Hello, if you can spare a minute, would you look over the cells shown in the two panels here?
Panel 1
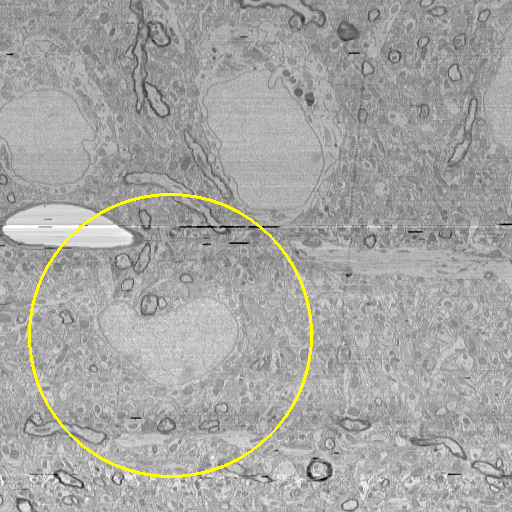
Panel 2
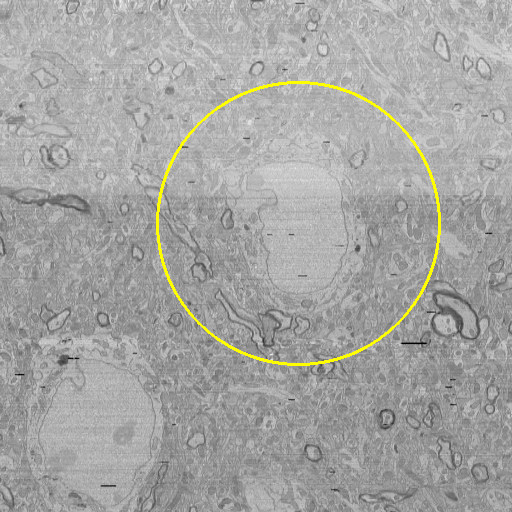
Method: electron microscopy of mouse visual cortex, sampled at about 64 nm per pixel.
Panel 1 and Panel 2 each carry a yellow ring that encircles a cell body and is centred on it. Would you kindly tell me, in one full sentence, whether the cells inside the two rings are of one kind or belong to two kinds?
The cells at the centres of the rings in Panel 1 and Panel 2 belong to two kinds.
